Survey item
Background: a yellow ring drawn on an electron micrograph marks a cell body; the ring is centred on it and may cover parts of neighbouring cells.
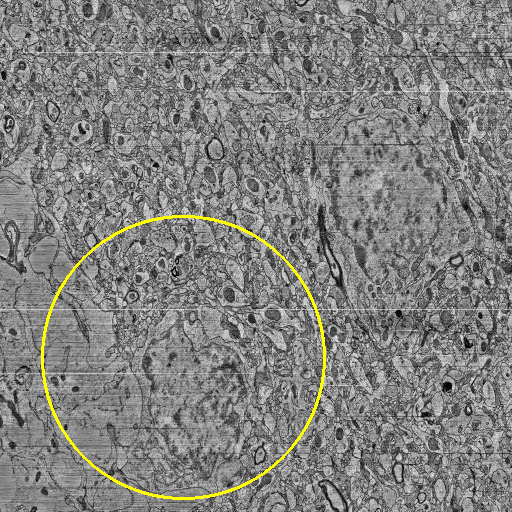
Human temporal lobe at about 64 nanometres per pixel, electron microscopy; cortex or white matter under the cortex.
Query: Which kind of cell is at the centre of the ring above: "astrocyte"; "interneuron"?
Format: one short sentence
The cell in the middle of the ring is an interneuron.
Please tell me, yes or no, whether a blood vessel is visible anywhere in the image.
Yes, there is one.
